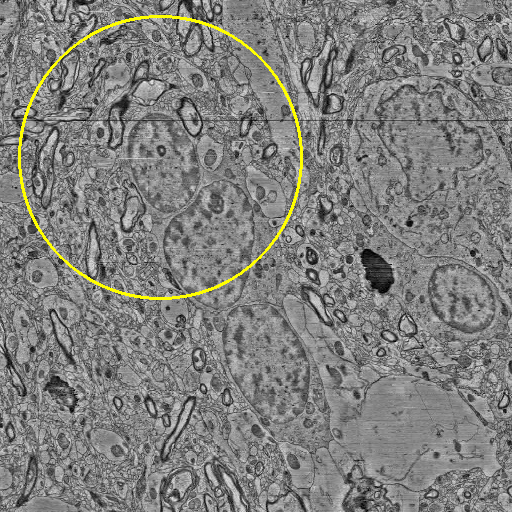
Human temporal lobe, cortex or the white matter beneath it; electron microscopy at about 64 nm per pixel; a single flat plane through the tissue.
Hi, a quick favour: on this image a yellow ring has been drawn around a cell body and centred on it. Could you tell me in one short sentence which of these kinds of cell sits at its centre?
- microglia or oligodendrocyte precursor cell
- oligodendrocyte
The ring is centred on an oligodendrocyte.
